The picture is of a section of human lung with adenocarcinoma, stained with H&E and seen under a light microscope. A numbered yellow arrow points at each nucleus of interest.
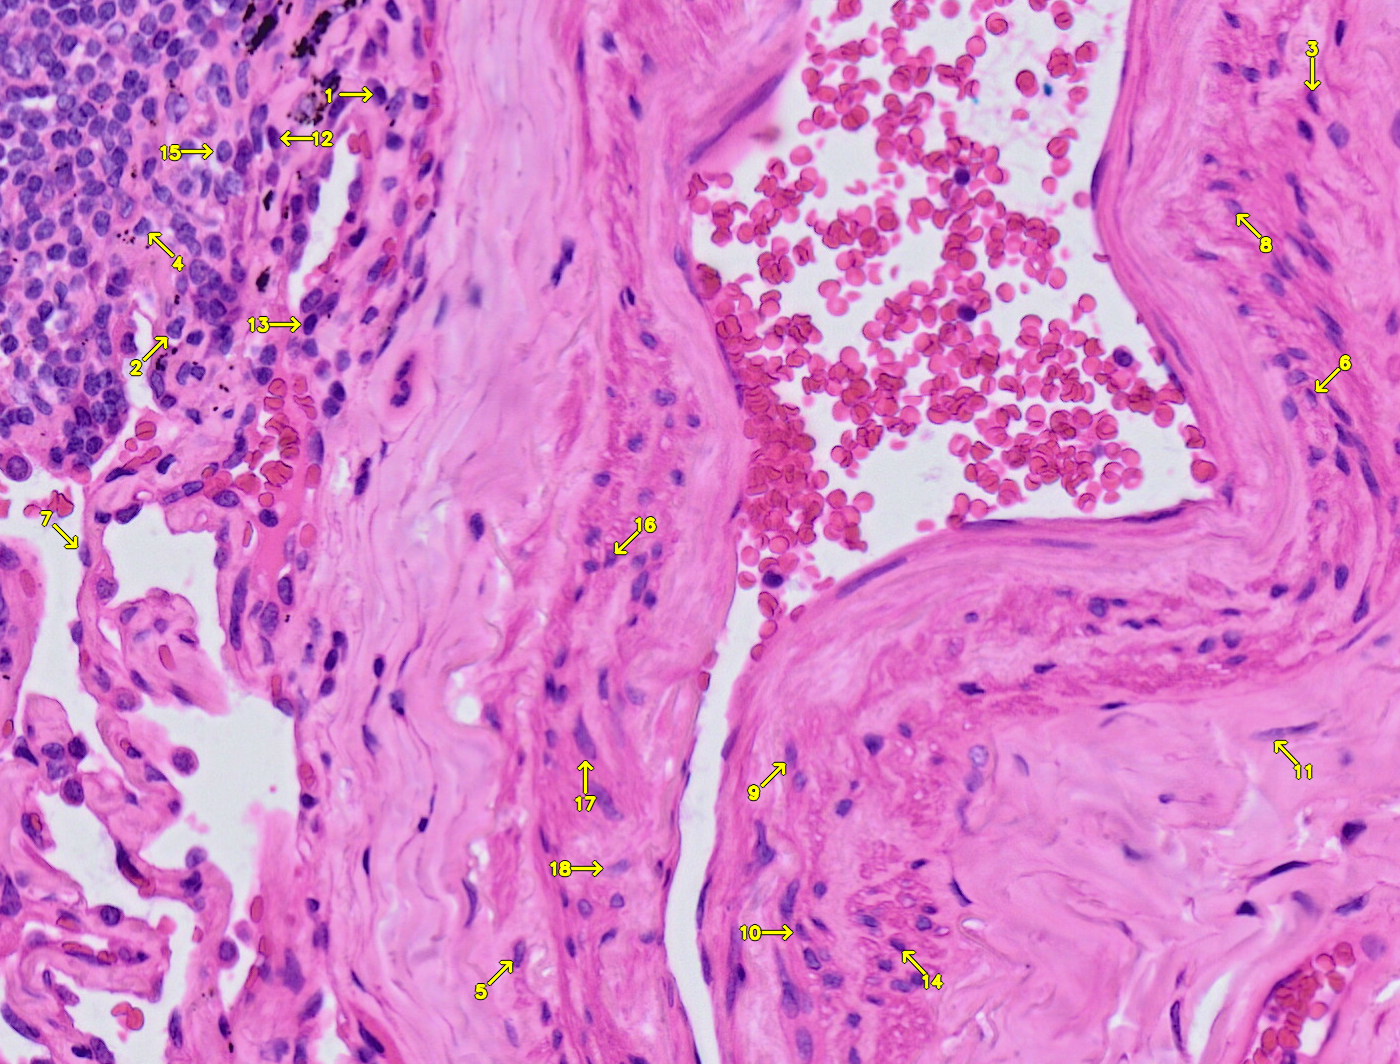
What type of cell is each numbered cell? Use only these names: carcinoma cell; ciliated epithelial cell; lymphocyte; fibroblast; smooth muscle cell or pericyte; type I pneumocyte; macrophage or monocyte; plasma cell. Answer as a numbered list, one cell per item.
1. plasma cell
2. lymphocyte
3. smooth muscle cell or pericyte
4. lymphocyte
5. smooth muscle cell or pericyte
6. smooth muscle cell or pericyte
7. type I pneumocyte
8. smooth muscle cell or pericyte
9. smooth muscle cell or pericyte
10. smooth muscle cell or pericyte
11. fibroblast
12. plasma cell
13. lymphocyte
14. smooth muscle cell or pericyte
15. lymphocyte
16. smooth muscle cell or pericyte
17. smooth muscle cell or pericyte
18. smooth muscle cell or pericyte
